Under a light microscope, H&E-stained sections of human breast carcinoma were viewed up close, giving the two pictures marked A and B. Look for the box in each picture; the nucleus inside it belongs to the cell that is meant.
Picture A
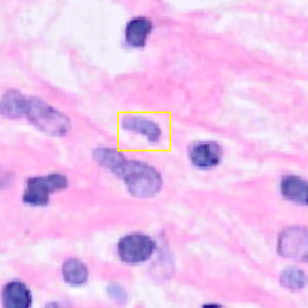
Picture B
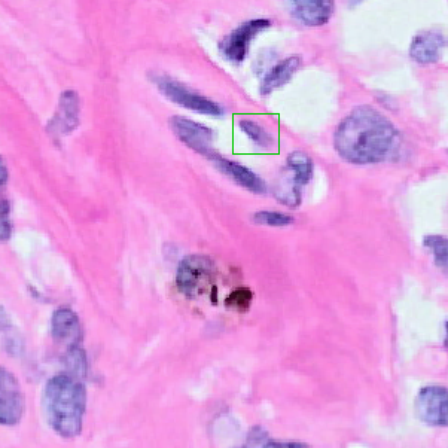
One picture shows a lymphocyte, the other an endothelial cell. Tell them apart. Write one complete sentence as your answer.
Picture A is of a lymphocyte, and picture B is of an endothelial cell.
